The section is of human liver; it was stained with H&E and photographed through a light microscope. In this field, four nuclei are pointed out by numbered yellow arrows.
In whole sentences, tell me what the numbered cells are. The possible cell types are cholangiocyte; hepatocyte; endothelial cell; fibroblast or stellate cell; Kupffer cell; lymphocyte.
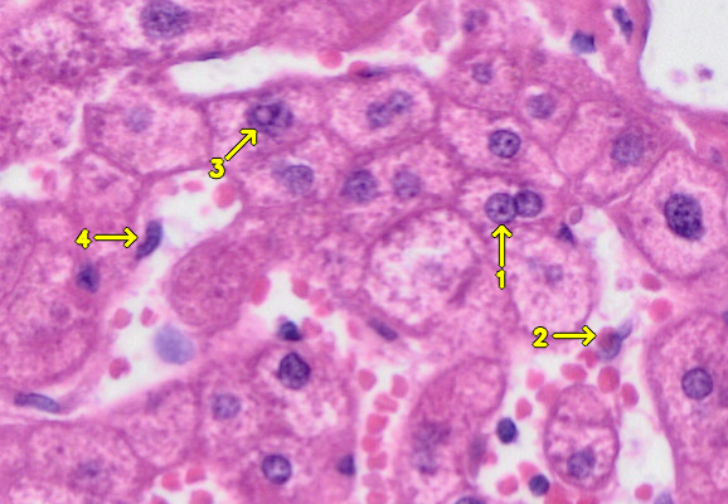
Cell 1 is a hepatocyte, cell 2 is a Kupffer cell, cell 3 is a hepatocyte and cell 4 is a Kupffer cell.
